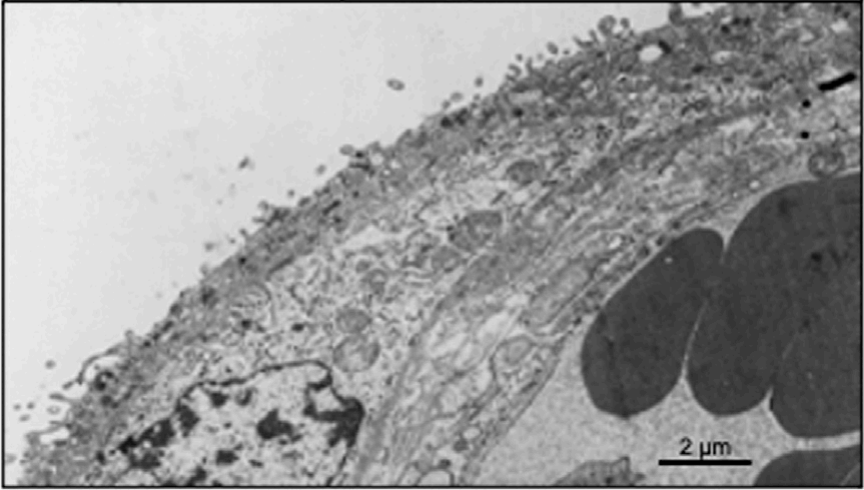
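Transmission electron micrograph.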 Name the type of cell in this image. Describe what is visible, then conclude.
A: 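The outermost cell layer bears many fine microvilli projecting into the empty space at the upper left. A large irregular nucleus with clumped chromatin lies within this outer layer at the lower left. The layer's cytoplasm is rich in mitochondria and membranous organelles. That points to this answer: syncytiotrophoblast.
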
